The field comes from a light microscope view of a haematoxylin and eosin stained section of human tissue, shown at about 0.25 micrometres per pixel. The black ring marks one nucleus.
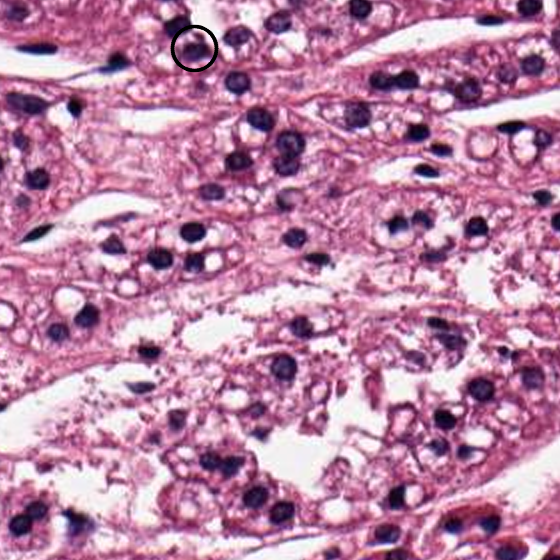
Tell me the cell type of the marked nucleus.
adrenal cortical cell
